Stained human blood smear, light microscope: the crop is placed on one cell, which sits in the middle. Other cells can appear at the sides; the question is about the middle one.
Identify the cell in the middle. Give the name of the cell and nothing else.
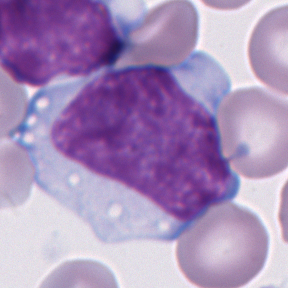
myeloblast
